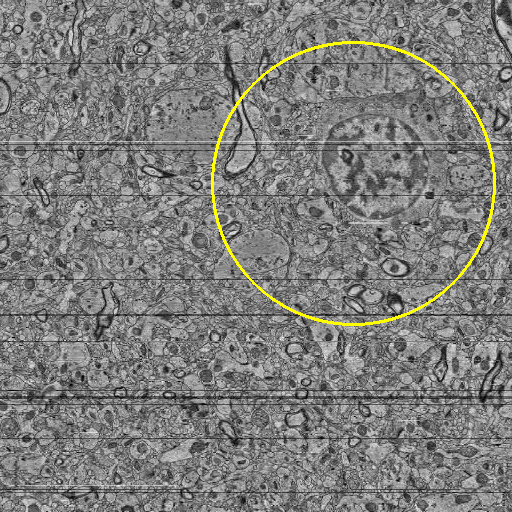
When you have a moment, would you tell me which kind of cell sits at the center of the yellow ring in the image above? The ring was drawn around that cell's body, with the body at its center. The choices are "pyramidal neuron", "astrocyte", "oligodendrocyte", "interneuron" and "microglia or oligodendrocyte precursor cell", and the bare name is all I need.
oligodendrocyte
